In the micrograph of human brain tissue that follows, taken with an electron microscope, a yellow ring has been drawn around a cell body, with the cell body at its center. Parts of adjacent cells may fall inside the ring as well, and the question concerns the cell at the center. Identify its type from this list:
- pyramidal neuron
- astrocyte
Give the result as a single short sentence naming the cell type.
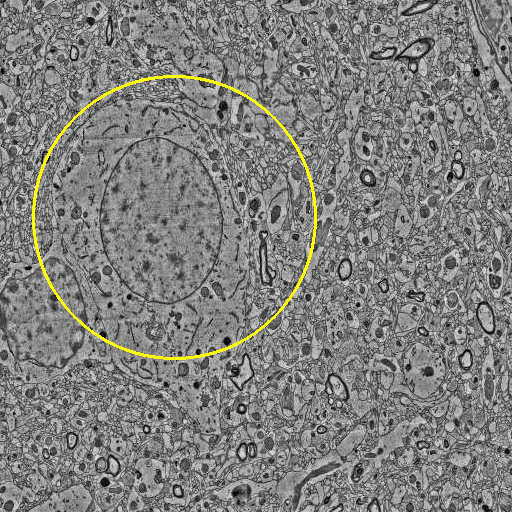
The ring is centered on a pyramidal neuron.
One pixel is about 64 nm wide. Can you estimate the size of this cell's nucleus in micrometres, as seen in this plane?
About 11 by 8 micrometres in this plane.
